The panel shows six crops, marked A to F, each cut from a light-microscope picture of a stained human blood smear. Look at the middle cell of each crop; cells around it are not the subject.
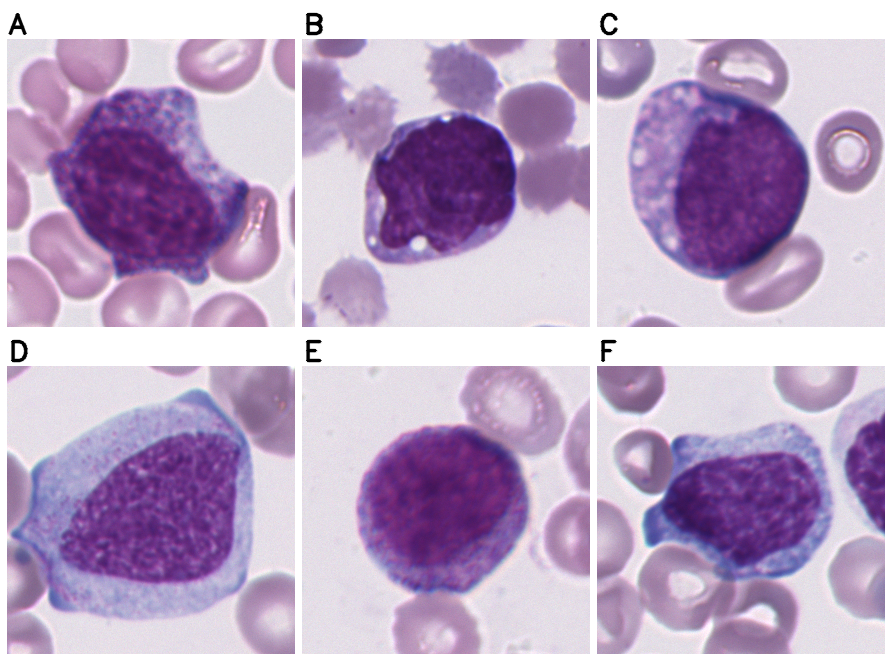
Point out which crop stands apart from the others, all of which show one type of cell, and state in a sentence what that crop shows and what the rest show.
The crops all show promyelocytes, with the exception of crop B, which shows a monocyte.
